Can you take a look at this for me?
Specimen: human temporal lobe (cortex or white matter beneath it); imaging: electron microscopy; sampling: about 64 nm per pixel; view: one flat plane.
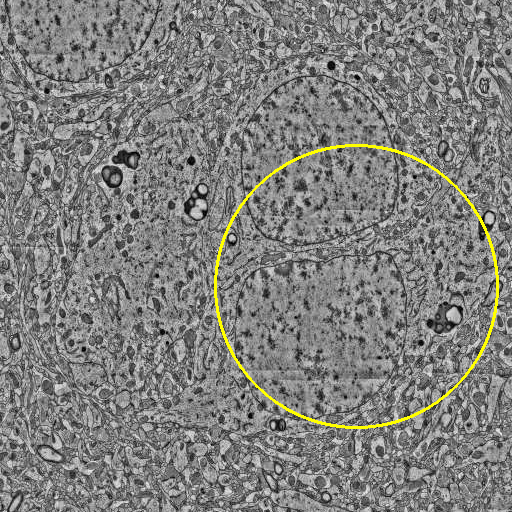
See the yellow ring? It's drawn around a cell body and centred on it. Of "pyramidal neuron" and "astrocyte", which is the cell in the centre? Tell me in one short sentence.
The one in the centre is a pyramidal neuron.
